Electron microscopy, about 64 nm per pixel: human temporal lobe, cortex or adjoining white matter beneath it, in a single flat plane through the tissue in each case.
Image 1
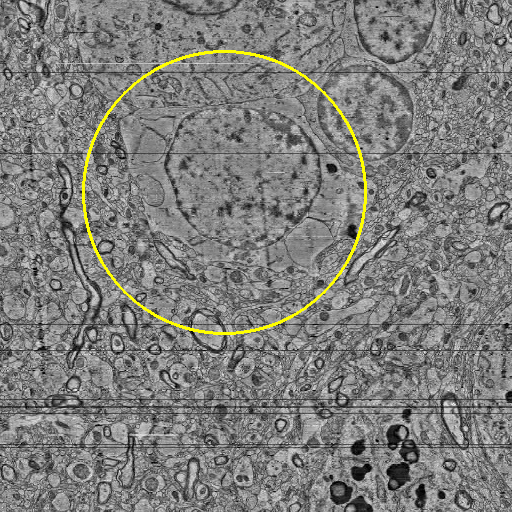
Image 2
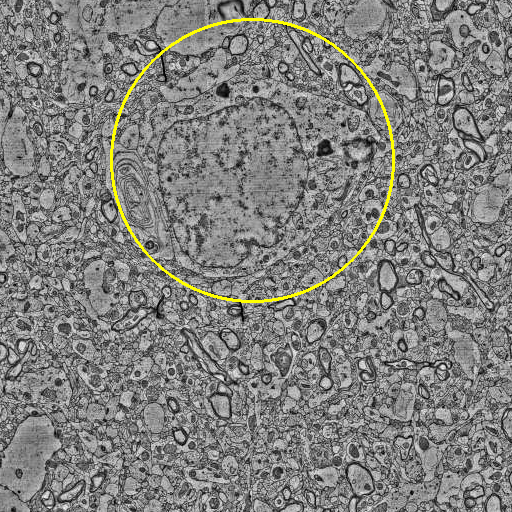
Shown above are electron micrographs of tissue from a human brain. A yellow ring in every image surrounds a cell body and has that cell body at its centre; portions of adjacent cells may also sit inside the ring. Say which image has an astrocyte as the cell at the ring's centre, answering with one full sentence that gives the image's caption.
The image whose ring is centred on the requested cell is Image 1.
